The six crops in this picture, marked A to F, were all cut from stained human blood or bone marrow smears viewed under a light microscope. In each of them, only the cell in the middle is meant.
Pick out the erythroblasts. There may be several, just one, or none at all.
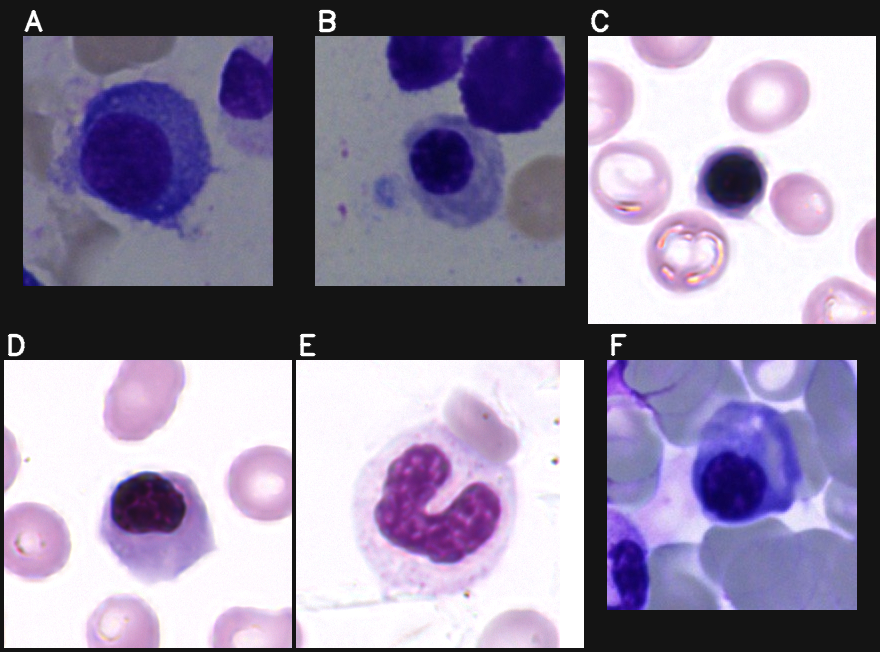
B, C, D, F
